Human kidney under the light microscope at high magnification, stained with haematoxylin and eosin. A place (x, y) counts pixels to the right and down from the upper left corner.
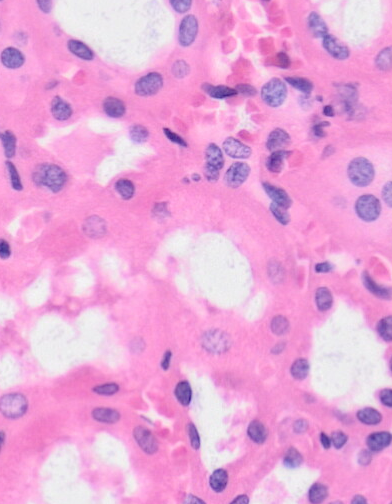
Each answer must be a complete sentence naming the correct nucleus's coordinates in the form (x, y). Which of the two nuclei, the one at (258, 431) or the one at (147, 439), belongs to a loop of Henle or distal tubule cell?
Identified as belonging to a loop of Henle or distal tubule cell is the nucleus at (258, 431).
